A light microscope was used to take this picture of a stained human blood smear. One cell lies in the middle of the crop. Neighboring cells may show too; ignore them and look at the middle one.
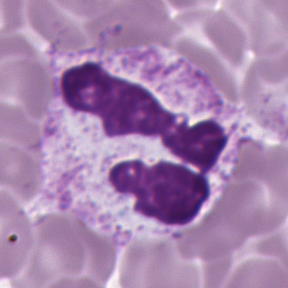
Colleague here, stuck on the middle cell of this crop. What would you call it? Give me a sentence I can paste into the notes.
By type, the central cell of the crop is a segmented neutrophil.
